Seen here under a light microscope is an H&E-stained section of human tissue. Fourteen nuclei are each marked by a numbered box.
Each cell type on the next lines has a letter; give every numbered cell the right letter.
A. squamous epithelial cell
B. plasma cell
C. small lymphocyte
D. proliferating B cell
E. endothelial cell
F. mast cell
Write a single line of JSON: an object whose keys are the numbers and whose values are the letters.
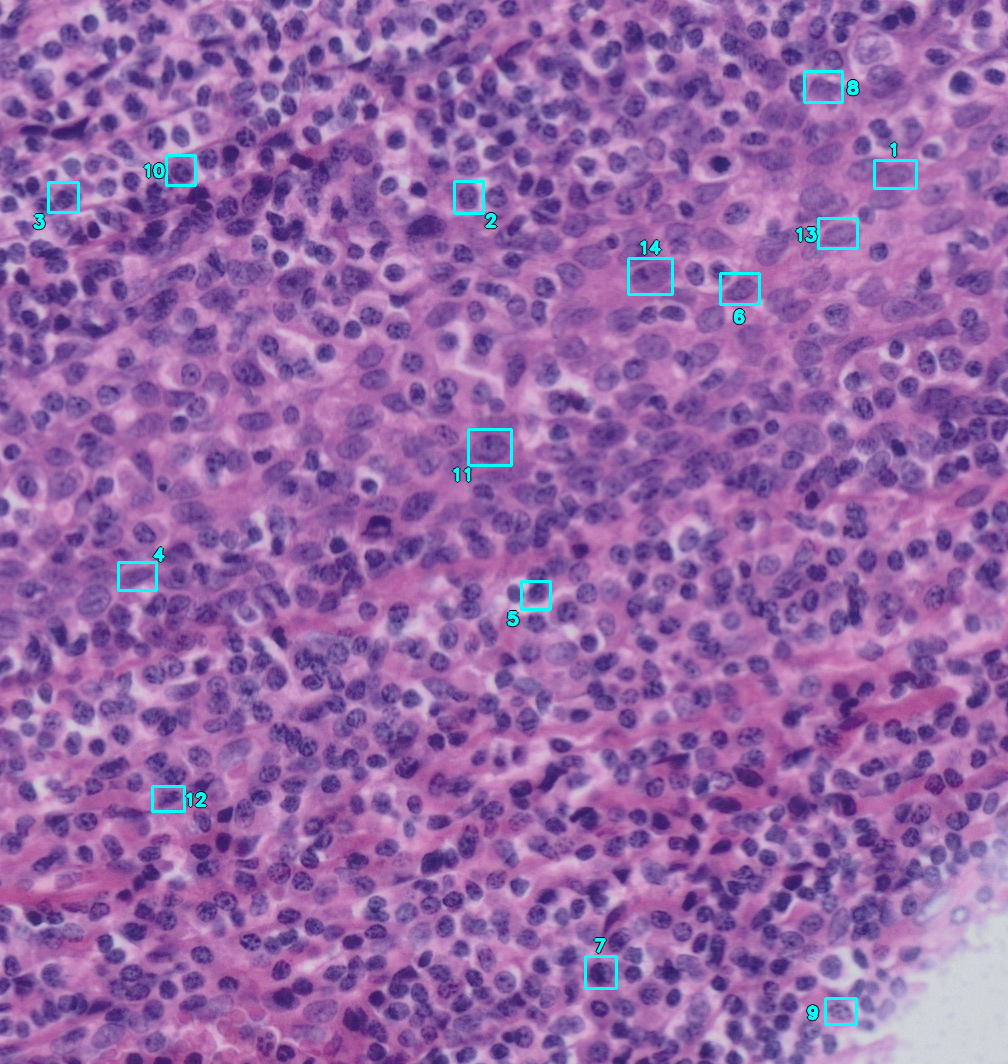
{"1": "A", "2": "B", "3": "B", "4": "A", "5": "B", "6": "A", "7": "B", "8": "A", "9": "B", "10": "B", "11": "A", "12": "B", "13": "A", "14": "A"}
